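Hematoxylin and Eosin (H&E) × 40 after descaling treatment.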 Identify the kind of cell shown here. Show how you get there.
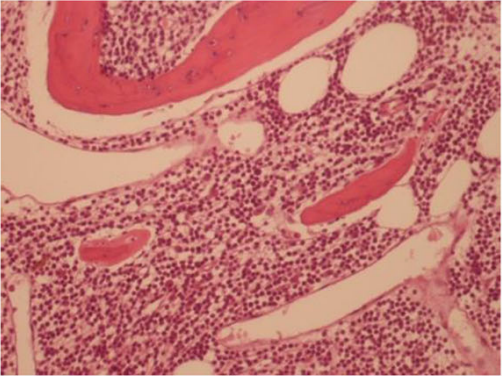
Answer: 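Small-sized lymphoid cells. Sheets of small round cells with dark round nuclei and scant cytoplasm. The cells look uniform in size. They fill the space between pink bone strands.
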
